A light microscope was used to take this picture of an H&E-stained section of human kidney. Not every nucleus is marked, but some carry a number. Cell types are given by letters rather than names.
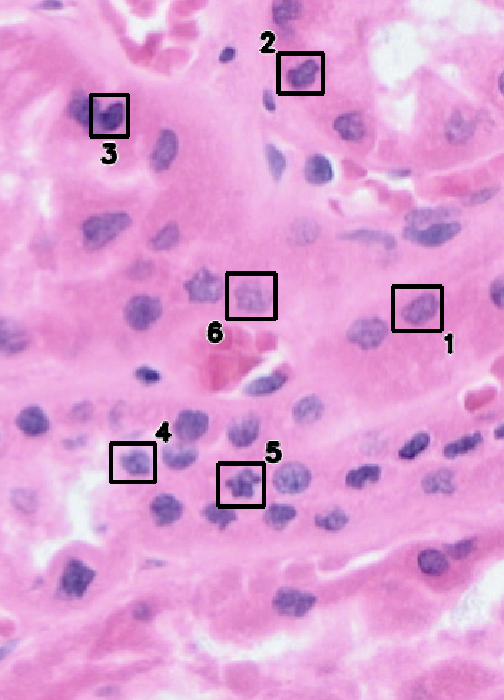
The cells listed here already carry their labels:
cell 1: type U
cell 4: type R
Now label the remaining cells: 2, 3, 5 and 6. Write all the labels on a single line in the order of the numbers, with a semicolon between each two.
type U; type U; type R; type U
